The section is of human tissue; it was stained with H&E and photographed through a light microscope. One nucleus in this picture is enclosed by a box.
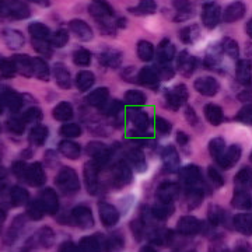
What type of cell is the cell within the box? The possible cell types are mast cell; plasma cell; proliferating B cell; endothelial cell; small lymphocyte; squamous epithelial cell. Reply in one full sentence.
In cellular terms, the cell within the box is a small lymphocyte.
